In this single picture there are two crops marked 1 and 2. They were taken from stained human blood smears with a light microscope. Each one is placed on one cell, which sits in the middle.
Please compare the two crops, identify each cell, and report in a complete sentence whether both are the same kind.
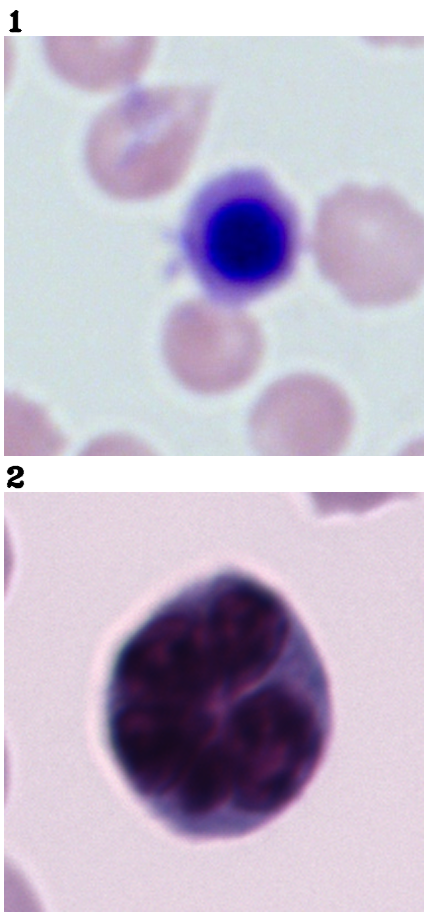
Yes, the centre of both crops is taken up by erythroblasts.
